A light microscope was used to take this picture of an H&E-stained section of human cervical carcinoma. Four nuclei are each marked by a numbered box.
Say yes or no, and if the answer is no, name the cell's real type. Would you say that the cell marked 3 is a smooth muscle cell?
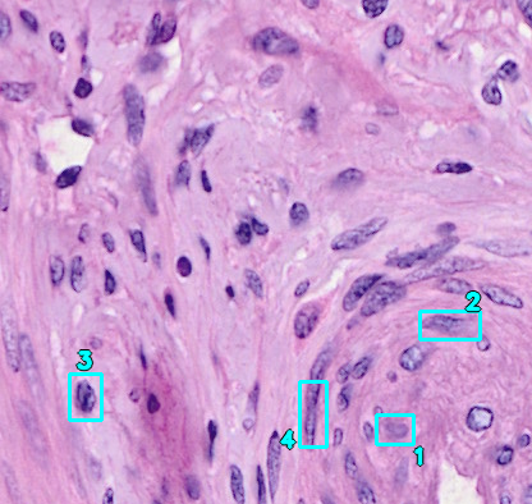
No, it is a lymphocyte.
